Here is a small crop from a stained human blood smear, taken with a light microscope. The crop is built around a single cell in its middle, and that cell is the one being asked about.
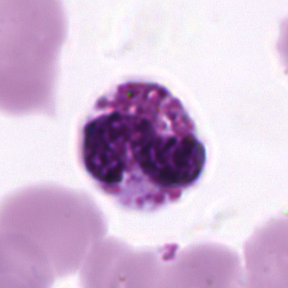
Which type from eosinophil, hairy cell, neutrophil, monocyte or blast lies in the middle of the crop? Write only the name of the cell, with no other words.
eosinophil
